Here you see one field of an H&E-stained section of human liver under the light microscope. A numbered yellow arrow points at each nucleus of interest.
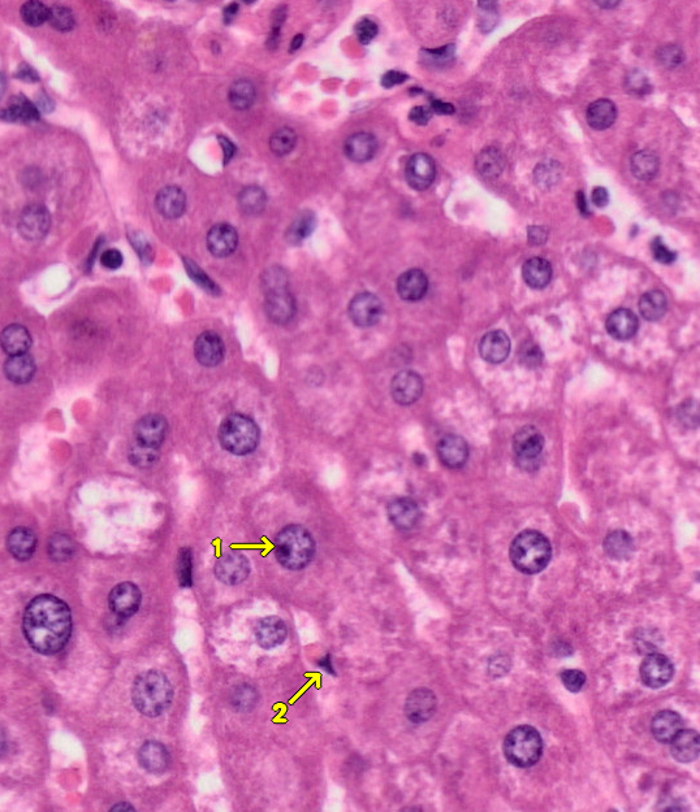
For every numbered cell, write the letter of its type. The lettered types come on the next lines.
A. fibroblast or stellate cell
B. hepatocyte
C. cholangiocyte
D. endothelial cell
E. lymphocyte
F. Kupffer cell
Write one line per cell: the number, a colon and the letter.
1: B
2: D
